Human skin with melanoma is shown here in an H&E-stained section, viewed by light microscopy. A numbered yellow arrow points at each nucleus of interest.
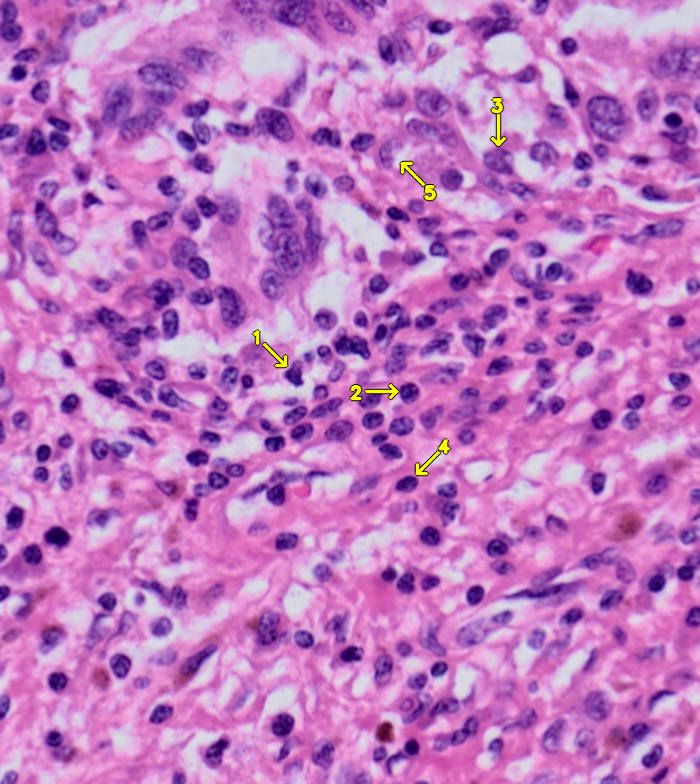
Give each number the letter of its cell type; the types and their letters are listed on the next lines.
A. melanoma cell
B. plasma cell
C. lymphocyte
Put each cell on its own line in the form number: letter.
1: C
2: C
3: A
4: C
5: A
